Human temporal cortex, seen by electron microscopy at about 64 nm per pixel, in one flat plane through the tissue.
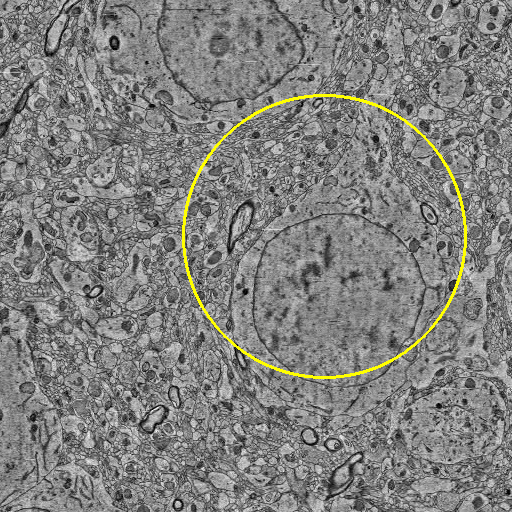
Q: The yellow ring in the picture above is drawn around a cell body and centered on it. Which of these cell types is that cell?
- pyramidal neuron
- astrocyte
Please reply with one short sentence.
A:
The cell body at the ring's center belongs to a pyramidal neuron.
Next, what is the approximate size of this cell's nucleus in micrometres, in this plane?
The nucleus of the ringed cell is approximately 11 micrometres across in this plane.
